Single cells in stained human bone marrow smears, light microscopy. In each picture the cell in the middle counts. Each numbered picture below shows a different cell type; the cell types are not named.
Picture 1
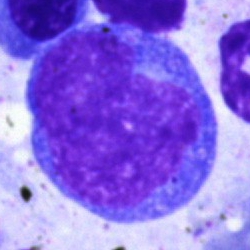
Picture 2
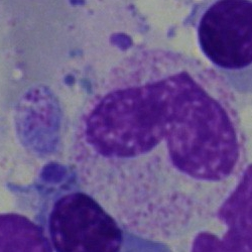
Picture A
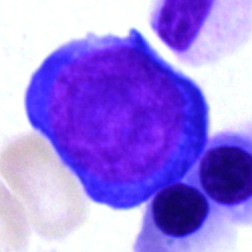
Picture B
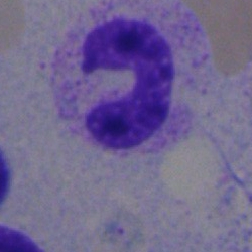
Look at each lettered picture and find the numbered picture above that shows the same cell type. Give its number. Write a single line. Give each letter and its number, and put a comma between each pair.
A 1, B 2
